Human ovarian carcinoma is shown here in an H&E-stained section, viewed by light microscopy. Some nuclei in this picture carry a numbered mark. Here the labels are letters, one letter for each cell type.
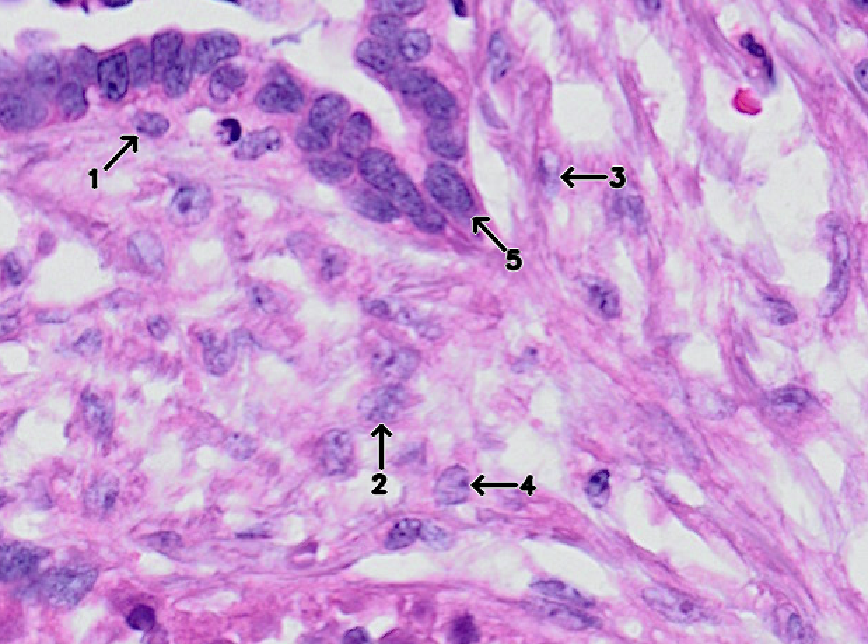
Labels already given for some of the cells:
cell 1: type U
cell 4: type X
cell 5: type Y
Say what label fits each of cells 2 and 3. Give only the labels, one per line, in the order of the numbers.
type X
type X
